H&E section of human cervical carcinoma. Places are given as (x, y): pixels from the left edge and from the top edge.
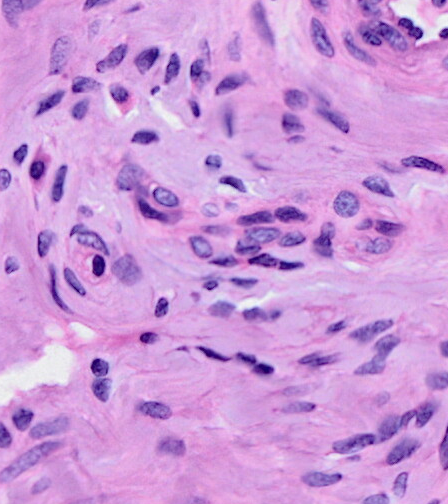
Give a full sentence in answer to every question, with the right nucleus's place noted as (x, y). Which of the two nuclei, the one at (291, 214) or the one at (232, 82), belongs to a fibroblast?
The nucleus situated at (232, 82) is the one belonging to a fibroblast.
